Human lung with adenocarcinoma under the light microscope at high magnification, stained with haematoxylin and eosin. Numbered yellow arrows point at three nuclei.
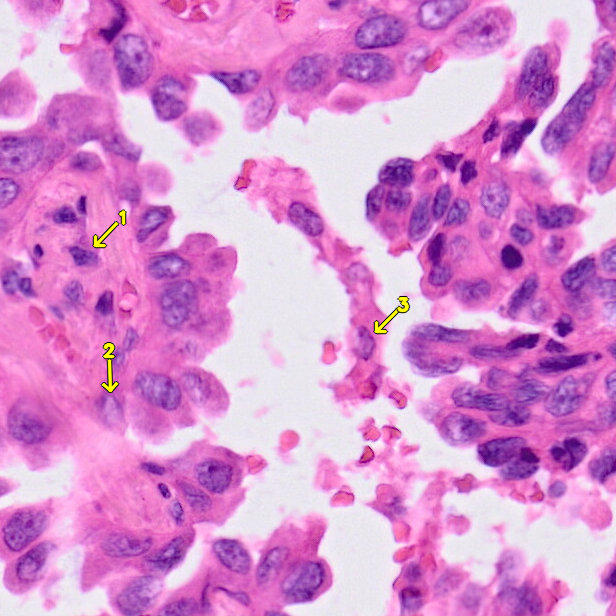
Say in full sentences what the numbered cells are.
Cell 1 is a plasma cell. Cell 2 is a carcinoma cell. Cell 3 is a macrophage or monocyte.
